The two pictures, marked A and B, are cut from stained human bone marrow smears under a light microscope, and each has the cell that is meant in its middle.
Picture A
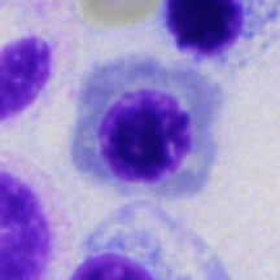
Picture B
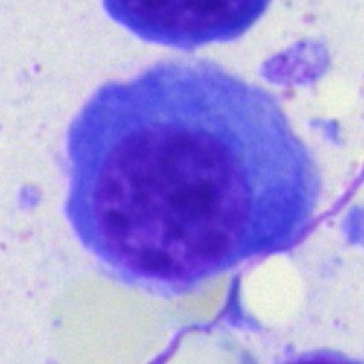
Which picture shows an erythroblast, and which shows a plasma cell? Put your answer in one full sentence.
In picture A the cell is an erythroblast; in picture B, a plasma cell.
